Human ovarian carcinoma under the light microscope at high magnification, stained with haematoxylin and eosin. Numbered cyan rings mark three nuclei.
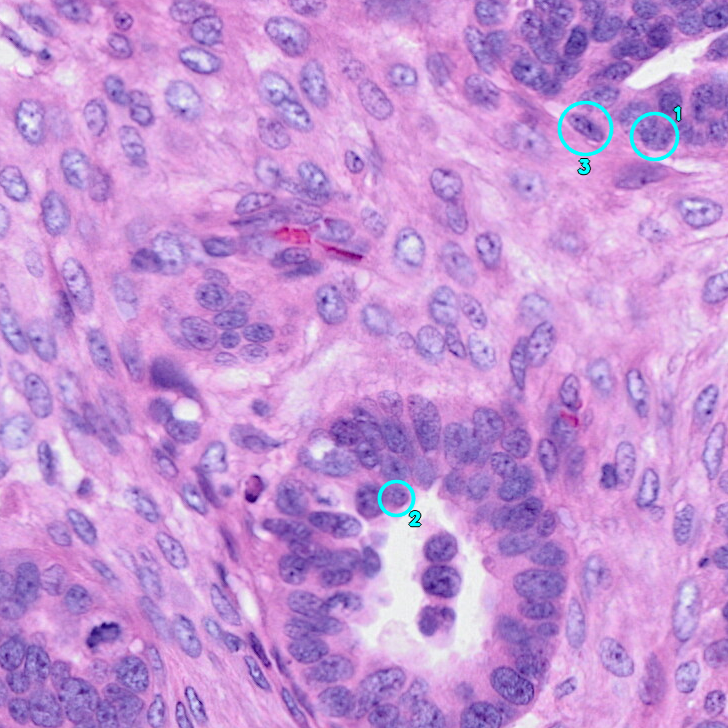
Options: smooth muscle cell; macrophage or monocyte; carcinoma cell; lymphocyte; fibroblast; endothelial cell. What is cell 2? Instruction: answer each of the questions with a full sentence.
Among the marked nuclei, number 2 belongs to a carcinoma cell.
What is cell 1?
That cell with number 1 is a carcinoma cell.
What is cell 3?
The one labeled 3 is a macrophage or monocyte, to put it simply.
